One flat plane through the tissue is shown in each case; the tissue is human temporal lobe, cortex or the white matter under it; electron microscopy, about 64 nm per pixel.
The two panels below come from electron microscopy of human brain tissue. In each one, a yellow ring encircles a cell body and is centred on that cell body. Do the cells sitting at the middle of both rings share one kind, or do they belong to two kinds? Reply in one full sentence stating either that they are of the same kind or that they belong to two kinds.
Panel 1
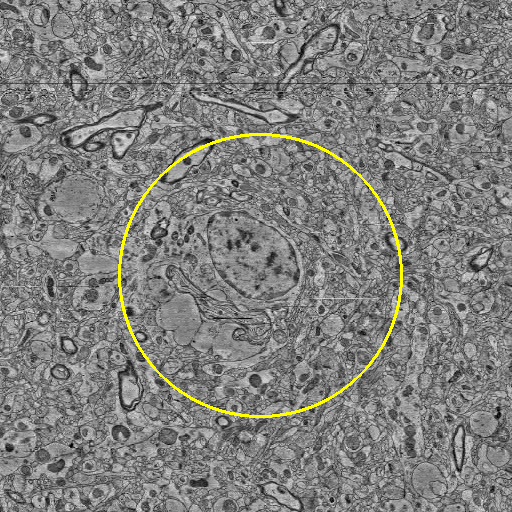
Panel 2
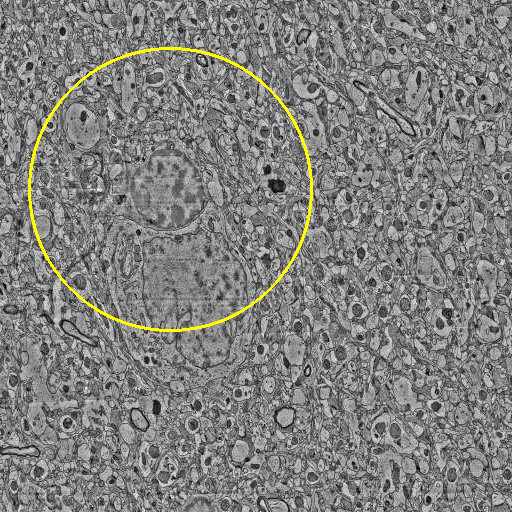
The cells at the centres of the two rings belong to two kinds.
